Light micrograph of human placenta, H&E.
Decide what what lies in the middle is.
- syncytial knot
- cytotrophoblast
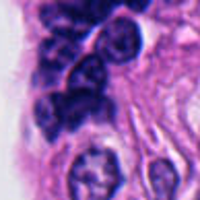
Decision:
syncytial knot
